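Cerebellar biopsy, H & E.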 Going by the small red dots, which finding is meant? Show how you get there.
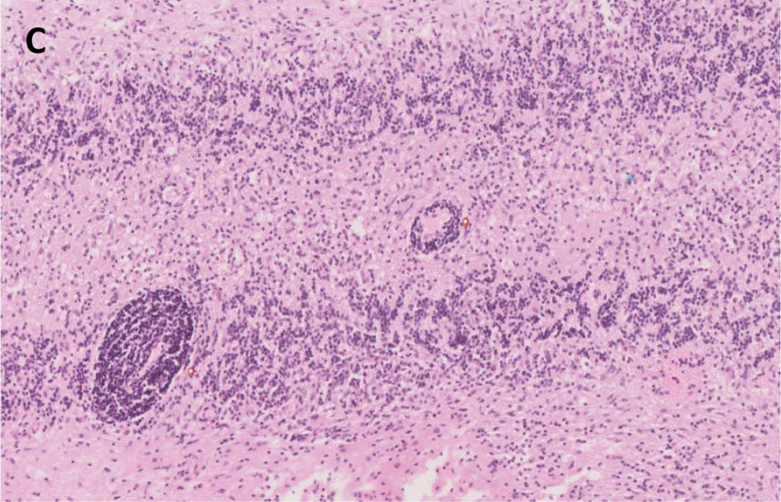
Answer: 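Lymphocytic infiltration. The dots lie beside dense rings of small dark round nuclei. These rings surround small vessels.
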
